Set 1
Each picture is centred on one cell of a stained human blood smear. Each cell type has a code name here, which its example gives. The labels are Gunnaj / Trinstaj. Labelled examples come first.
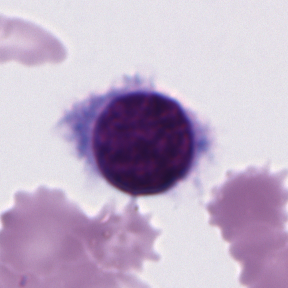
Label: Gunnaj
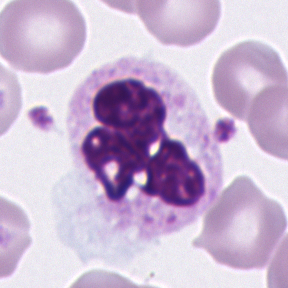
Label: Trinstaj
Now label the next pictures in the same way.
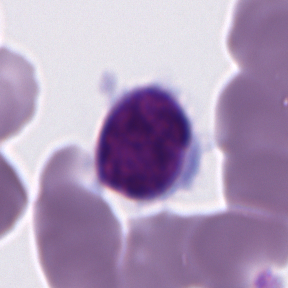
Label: Gunnaj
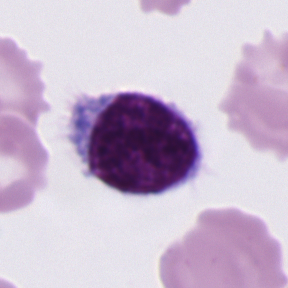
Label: Gunnaj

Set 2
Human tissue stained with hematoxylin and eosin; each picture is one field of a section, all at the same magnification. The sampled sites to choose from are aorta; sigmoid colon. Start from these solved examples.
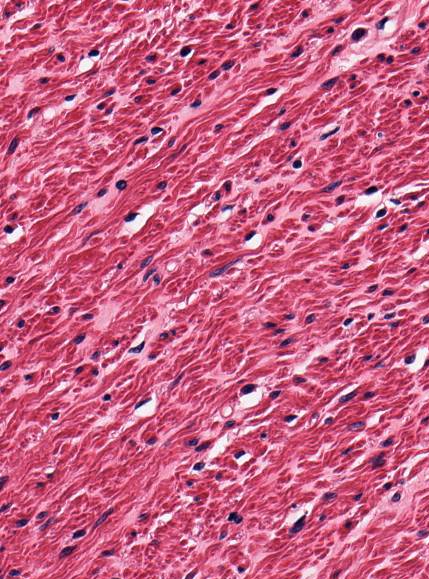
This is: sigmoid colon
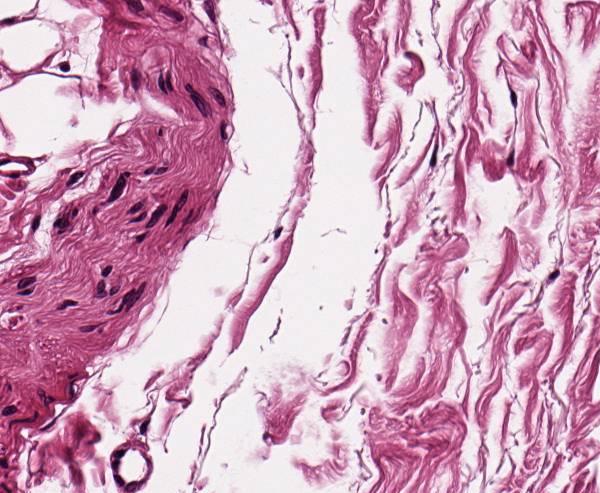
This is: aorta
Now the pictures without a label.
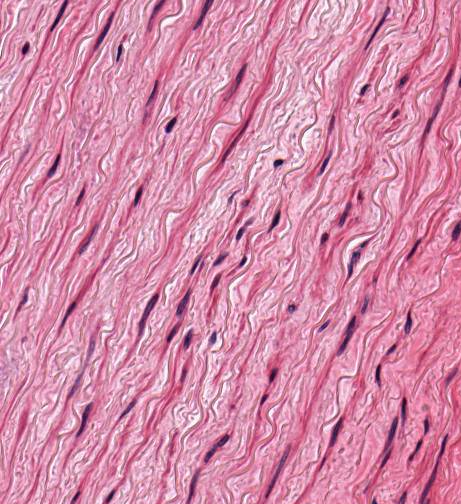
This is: aorta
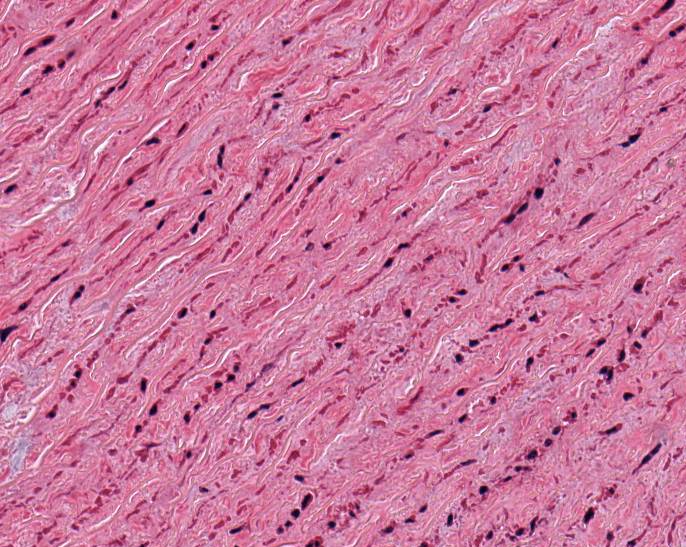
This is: aorta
